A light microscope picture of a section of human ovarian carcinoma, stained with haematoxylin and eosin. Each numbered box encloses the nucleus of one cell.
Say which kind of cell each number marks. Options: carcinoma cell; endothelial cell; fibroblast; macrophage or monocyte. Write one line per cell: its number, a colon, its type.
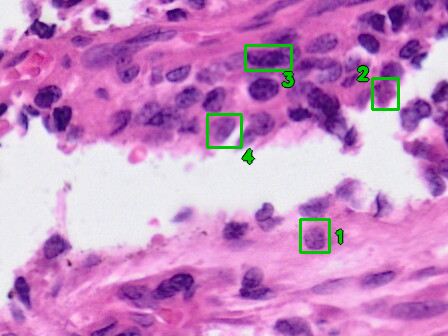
1: macrophage or monocyte
2: carcinoma cell
3: carcinoma cell
4: carcinoma cell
